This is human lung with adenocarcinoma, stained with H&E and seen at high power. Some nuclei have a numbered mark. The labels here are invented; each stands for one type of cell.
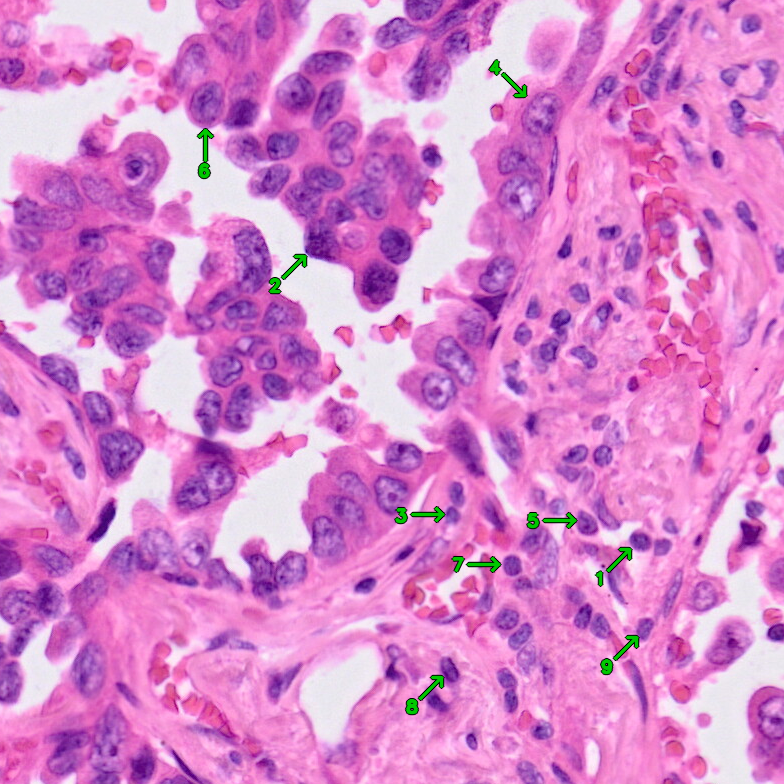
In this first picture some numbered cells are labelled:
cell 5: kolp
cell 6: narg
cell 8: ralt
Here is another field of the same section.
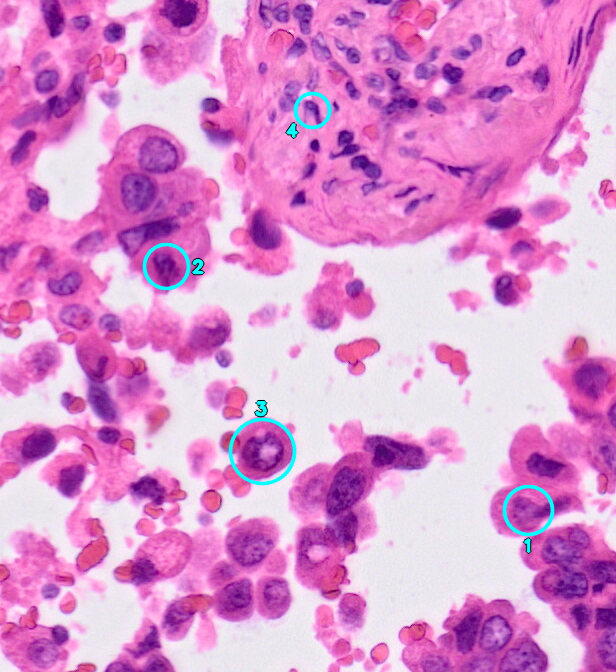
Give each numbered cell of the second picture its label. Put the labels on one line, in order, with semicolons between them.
narg; narg; narg; kolp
